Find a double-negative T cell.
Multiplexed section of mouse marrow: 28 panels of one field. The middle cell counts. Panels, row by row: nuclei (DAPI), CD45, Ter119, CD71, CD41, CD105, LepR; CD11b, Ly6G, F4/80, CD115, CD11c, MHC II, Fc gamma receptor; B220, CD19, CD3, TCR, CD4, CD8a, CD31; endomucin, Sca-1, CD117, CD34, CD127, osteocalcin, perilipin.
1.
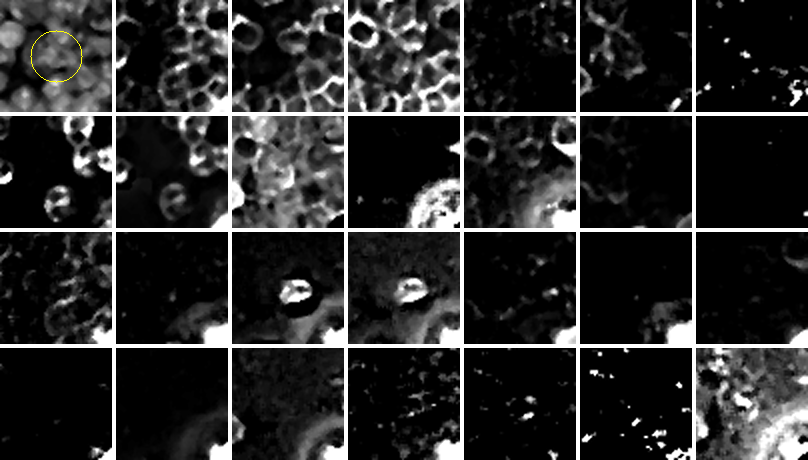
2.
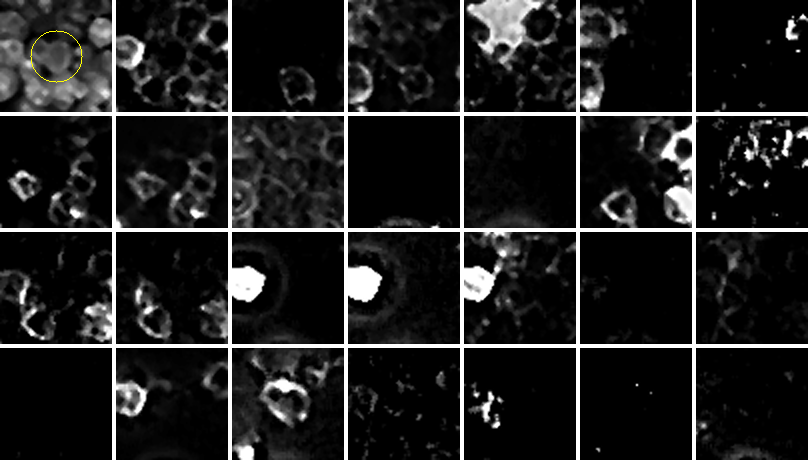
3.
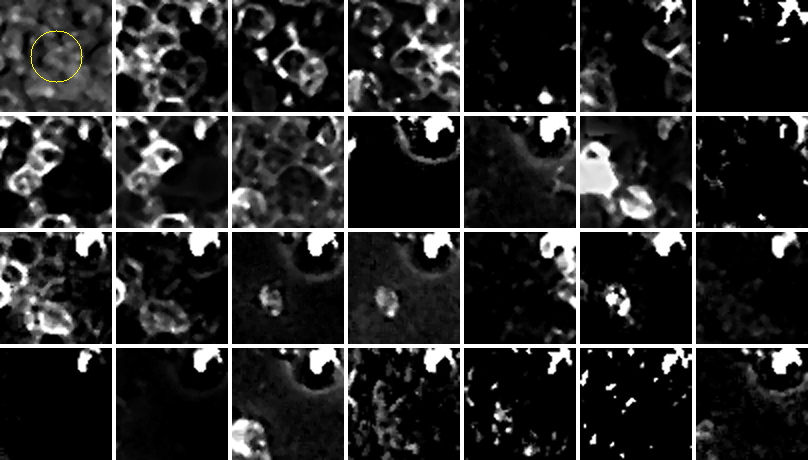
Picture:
1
